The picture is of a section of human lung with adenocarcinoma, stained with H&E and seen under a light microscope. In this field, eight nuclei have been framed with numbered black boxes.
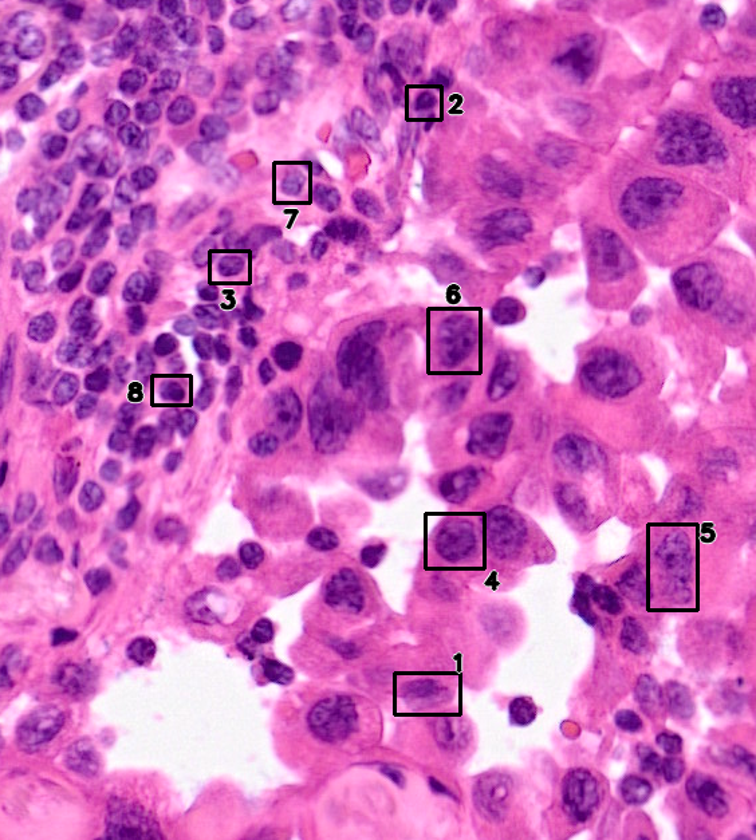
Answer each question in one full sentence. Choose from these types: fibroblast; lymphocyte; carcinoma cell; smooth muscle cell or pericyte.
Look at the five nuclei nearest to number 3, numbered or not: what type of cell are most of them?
Around number 3, most of the five nearest nuclei are those of lymphocytes.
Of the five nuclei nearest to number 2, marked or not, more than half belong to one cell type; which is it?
Most of the five nuclei nearest to number 2 are those of lymphocytes.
